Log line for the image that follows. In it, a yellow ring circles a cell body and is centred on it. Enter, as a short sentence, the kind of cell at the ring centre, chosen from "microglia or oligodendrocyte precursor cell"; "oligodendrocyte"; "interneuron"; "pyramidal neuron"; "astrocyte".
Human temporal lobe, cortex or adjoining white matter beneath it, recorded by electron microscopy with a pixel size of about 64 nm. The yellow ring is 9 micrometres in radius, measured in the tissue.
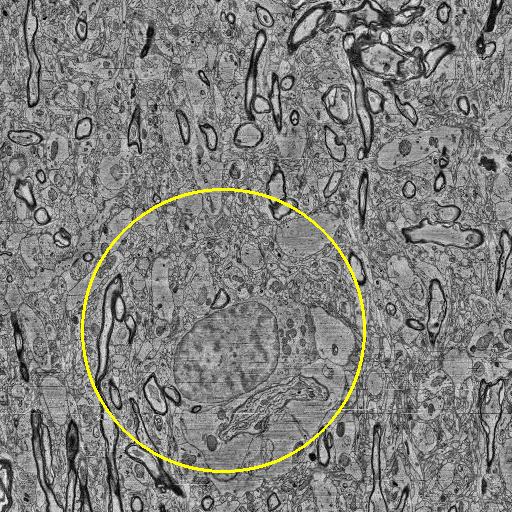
The ring centre is occupied by an oligodendrocyte.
